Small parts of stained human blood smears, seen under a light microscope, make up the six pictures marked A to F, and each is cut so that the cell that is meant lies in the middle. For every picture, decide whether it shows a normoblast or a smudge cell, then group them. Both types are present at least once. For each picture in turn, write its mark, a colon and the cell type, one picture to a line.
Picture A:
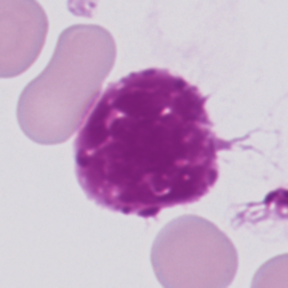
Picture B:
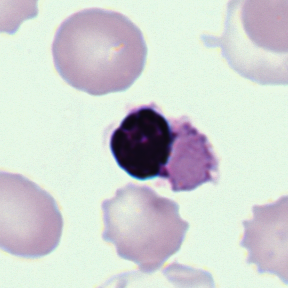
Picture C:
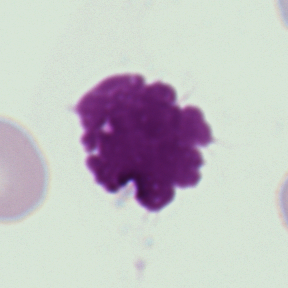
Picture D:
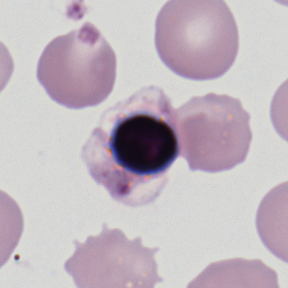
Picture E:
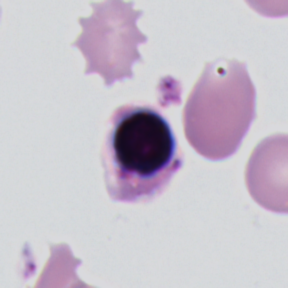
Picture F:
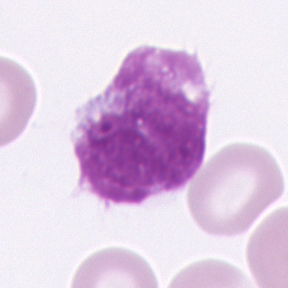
A: smudge cell
B: normoblast
C: smudge cell
D: normoblast
E: normoblast
F: smudge cell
